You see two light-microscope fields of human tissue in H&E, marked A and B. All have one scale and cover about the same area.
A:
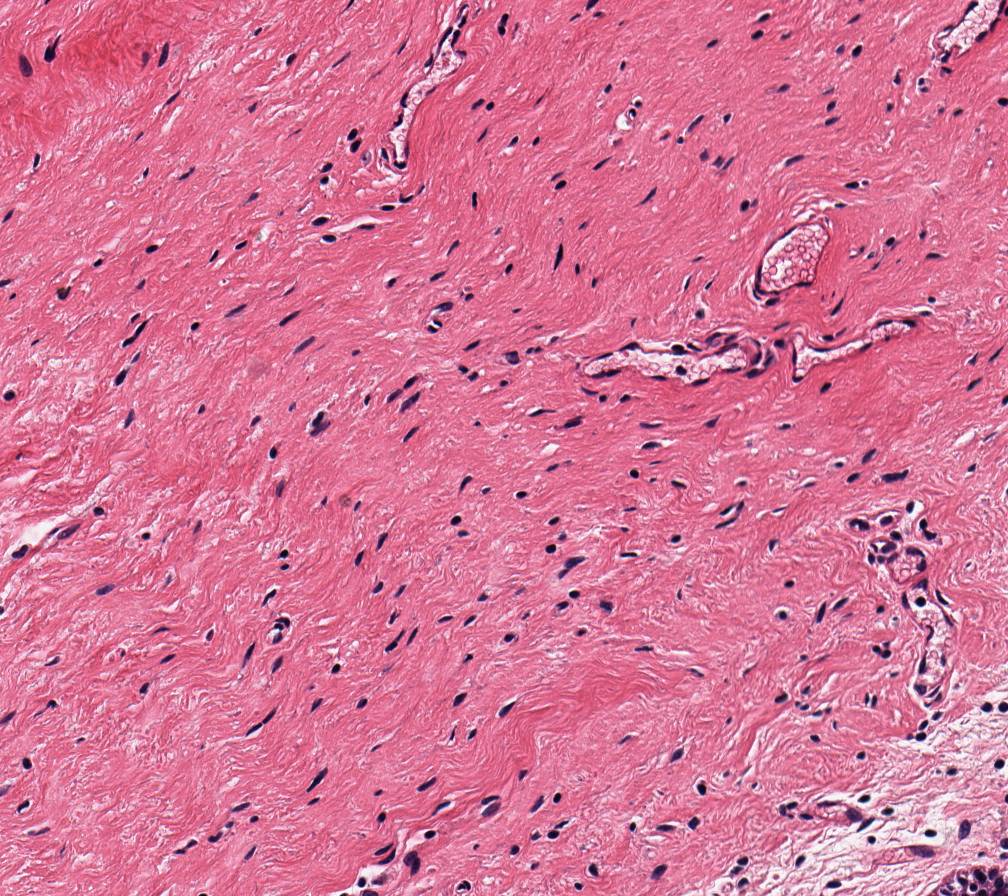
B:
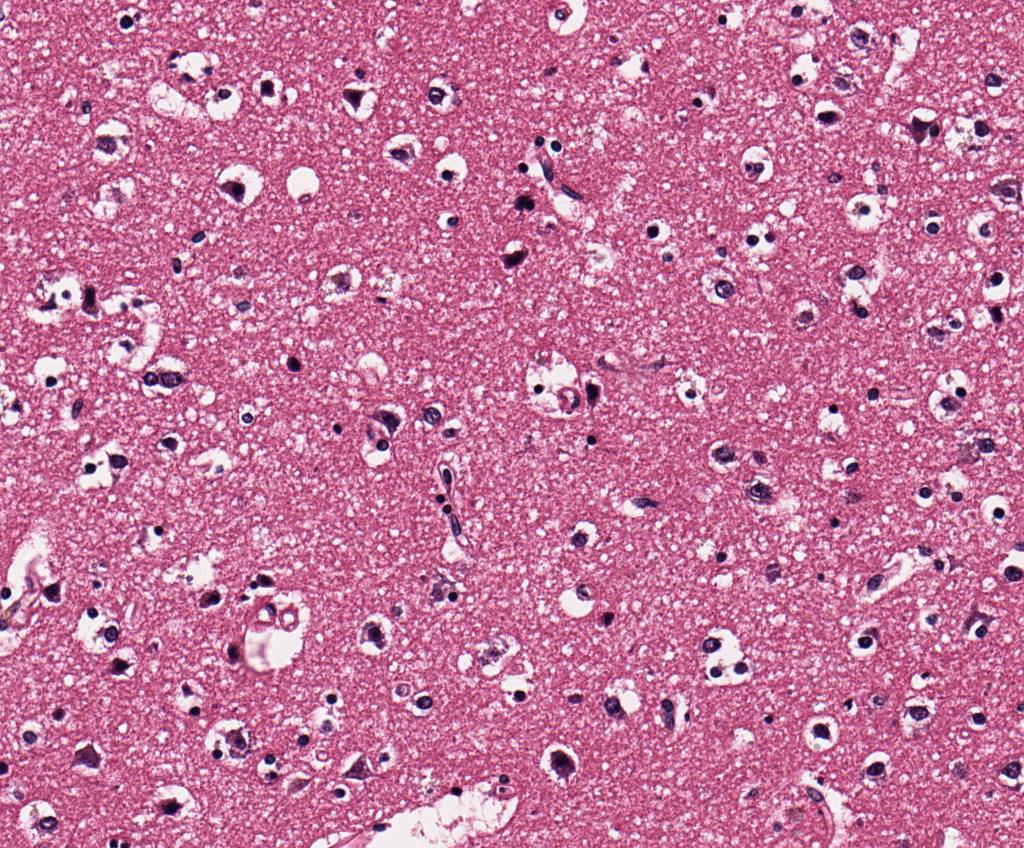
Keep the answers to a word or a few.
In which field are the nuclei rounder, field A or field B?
B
